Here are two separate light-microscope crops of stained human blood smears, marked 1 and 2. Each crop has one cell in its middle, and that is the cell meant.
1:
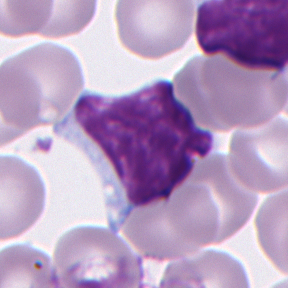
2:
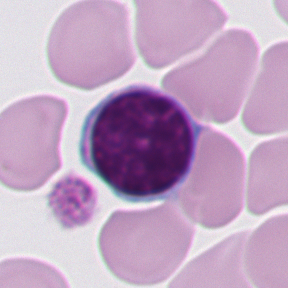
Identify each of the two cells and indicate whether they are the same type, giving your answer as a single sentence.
Yes, the cells under consideration in both crops are typical lymphocytes.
